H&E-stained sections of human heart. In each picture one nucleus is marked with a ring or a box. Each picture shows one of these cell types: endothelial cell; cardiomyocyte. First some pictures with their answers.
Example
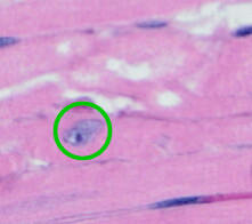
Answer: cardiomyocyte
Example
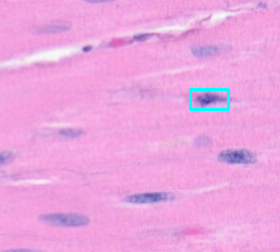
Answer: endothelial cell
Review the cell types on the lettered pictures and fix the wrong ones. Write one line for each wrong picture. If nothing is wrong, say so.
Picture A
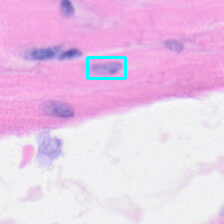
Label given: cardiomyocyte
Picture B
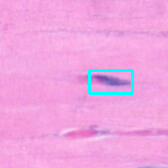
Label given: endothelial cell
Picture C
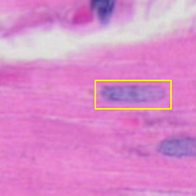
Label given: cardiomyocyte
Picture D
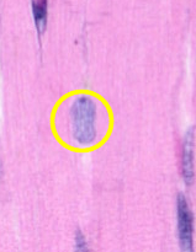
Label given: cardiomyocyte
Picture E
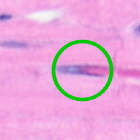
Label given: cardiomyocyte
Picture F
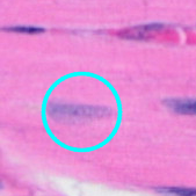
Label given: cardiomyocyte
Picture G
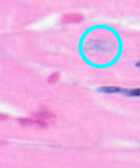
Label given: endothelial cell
Wrong: E (cardiomyocyte); correct: endothelial cell
Wrong: G (endothelial cell); correct: cardiomyocyte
